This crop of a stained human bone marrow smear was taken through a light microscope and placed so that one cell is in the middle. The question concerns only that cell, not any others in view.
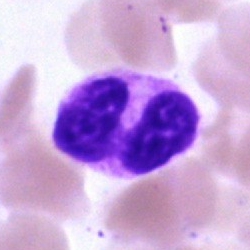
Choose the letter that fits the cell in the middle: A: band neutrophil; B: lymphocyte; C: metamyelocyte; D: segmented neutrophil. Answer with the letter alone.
D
